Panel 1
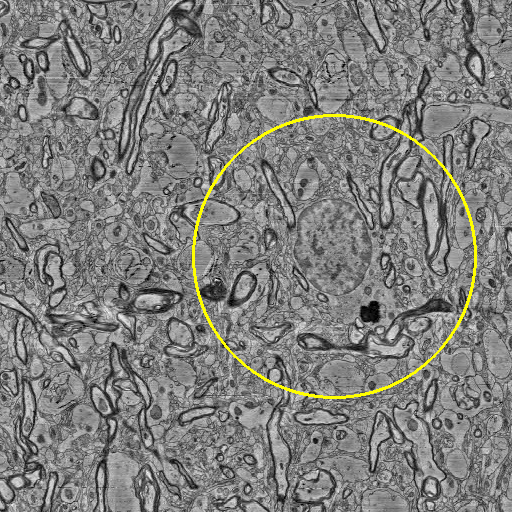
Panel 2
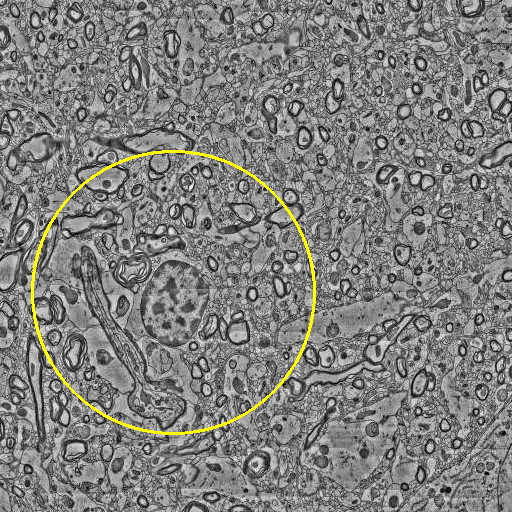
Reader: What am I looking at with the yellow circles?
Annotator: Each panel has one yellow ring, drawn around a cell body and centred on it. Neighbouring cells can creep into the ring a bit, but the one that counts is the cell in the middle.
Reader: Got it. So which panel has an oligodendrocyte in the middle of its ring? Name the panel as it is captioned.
Panel 1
